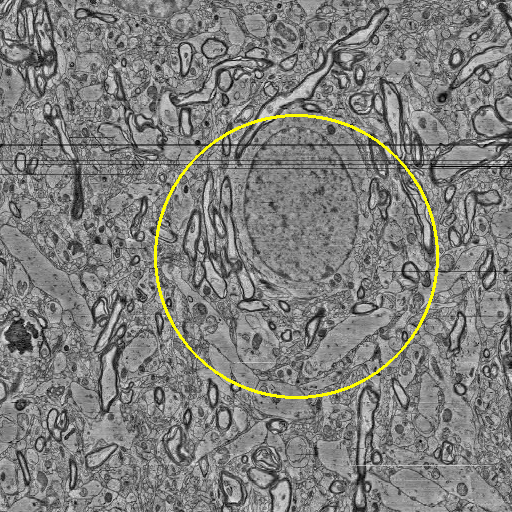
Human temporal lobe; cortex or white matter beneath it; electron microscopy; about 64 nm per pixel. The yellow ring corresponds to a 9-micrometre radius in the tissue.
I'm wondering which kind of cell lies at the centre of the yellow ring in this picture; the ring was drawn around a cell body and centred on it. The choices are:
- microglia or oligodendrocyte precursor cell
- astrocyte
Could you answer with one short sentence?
At the centre of the ring lies an astrocyte.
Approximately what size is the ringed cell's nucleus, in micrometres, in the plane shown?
In this plane the nucleus measures roughly 10 by 7 micrometres.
